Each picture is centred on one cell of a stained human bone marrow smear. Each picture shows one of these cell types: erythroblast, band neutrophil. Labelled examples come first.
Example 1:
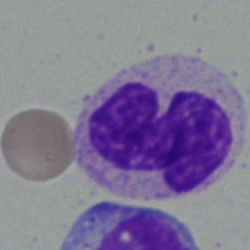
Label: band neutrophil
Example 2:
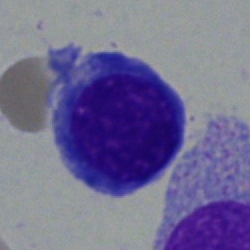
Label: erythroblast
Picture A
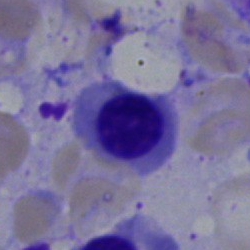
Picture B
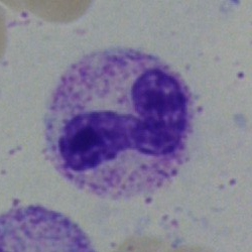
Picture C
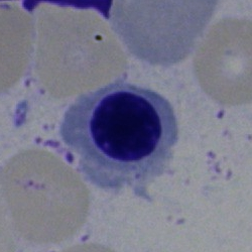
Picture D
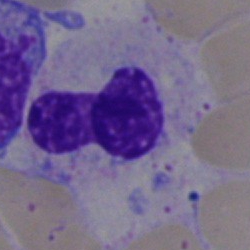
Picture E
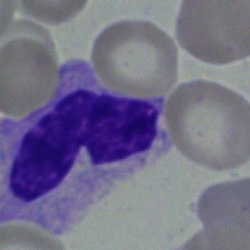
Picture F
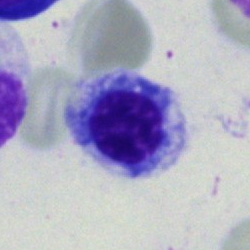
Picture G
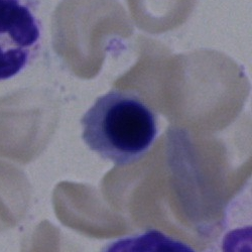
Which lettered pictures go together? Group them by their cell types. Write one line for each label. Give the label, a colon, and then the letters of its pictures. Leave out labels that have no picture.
erythroblast: A, C, F, G
band neutrophil: B, D, E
